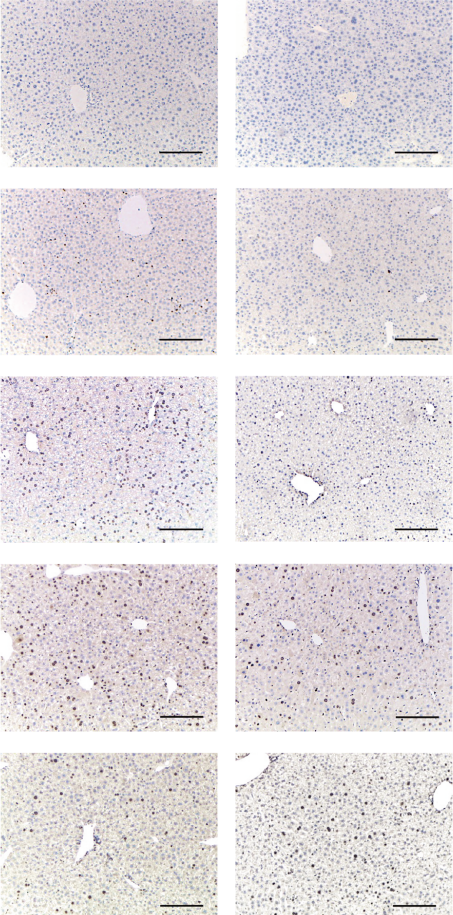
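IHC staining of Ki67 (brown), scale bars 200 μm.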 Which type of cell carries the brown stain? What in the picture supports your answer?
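Brown-stained round nuclei lie within plates of large polygonal cells. The answer: hepatocytes.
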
